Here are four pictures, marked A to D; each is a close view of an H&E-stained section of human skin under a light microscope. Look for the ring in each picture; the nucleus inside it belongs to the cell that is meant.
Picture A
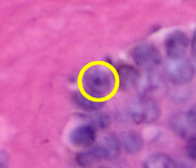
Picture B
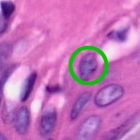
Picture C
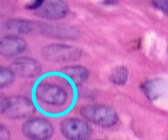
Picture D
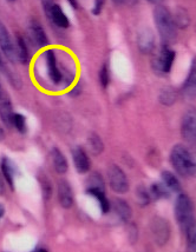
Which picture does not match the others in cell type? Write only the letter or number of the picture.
C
